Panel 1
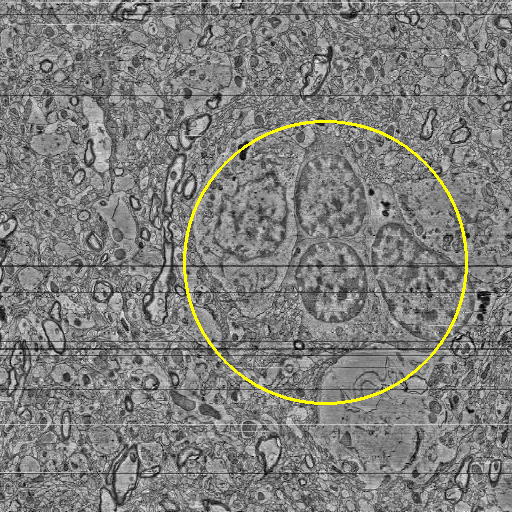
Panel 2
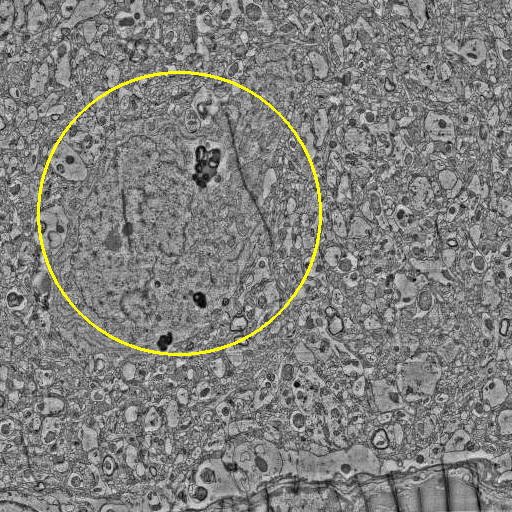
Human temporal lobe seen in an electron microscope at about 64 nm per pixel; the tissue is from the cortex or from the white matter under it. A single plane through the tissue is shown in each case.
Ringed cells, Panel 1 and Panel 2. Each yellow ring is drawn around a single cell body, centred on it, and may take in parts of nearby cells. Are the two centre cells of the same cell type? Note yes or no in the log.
no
